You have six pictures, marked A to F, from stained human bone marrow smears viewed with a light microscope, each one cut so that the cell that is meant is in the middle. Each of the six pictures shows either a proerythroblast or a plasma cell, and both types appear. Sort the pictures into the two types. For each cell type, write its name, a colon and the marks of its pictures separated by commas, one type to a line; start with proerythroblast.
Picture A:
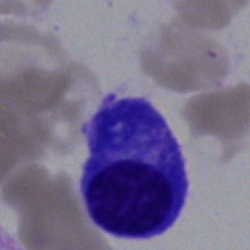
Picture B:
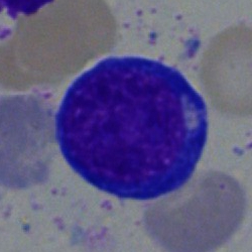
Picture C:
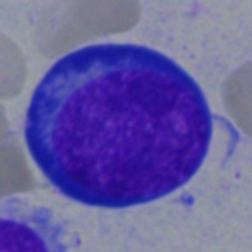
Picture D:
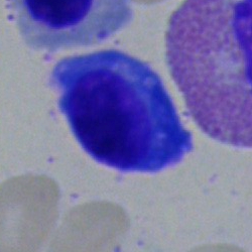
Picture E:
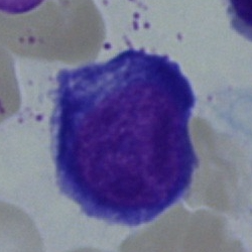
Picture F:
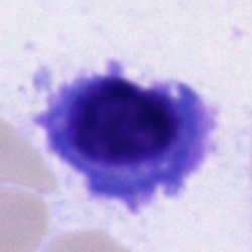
proerythroblast: B, C, E
plasma cell: A, D, F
